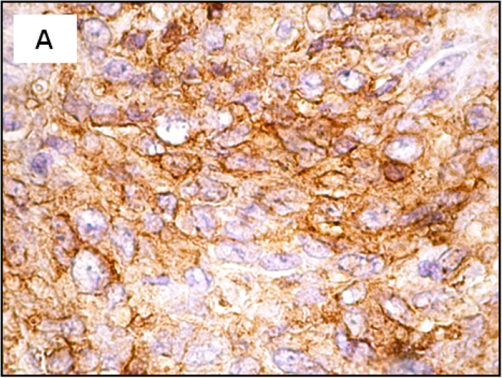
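Densely packed tumor cells fill the field, with large oval to round pale blue nuclei, many showing fine chromatin. Intense brown stain lies mainly at the cell borders, outlining the individual cells, with lighter brown in the cytoplasm. The cells lie crowded without a clear layered arrangement, and a few clear spaces are scattered among them.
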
